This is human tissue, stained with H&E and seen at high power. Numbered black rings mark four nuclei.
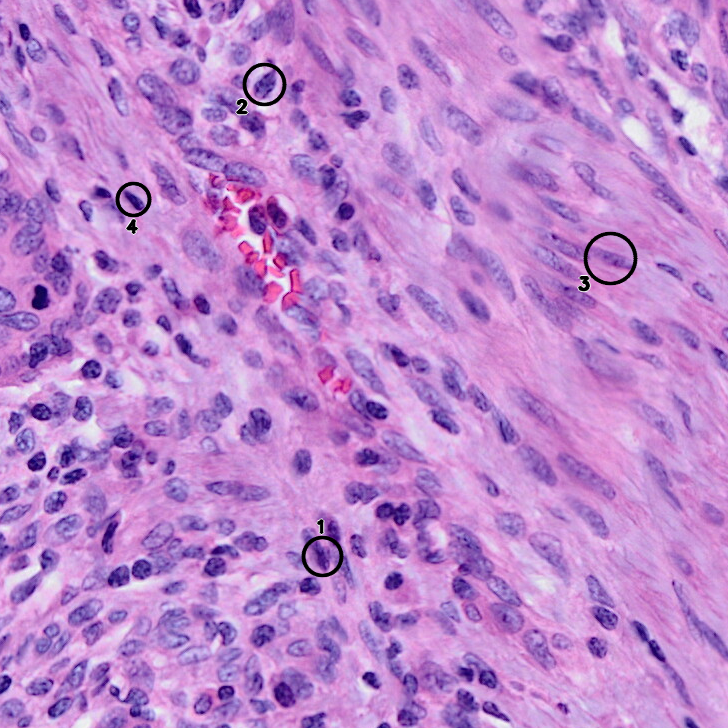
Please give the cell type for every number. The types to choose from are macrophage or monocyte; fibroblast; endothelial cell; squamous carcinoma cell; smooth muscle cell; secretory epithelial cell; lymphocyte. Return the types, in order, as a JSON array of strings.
["lymphocyte", "lymphocyte", "smooth muscle cell", "lymphocyte"]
